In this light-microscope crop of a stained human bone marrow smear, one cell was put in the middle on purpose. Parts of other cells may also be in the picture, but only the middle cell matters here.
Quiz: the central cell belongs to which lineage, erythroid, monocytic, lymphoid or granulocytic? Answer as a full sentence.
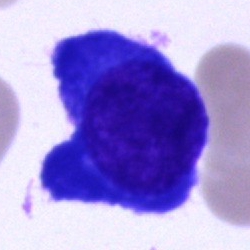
The centered cell is one of the lymphoid lineage.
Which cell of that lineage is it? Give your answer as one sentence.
In the center of this field lies a plasma cell.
